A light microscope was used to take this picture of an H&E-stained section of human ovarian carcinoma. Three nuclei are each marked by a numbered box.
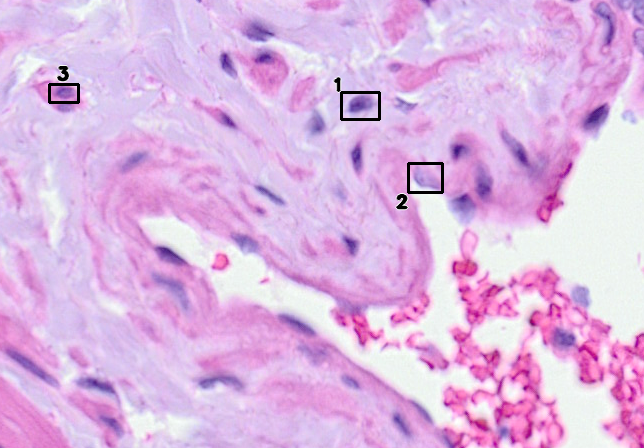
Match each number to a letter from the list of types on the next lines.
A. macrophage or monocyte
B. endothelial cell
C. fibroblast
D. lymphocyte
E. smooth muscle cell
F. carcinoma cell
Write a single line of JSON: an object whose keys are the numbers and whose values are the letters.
{"1": "C", "2": "B", "3": "E"}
